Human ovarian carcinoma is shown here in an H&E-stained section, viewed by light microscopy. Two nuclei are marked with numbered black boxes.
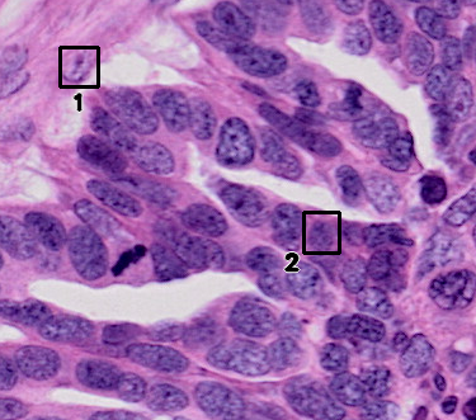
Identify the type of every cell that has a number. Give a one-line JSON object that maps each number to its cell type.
{"1": "fibroblast", "2": "carcinoma cell"}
